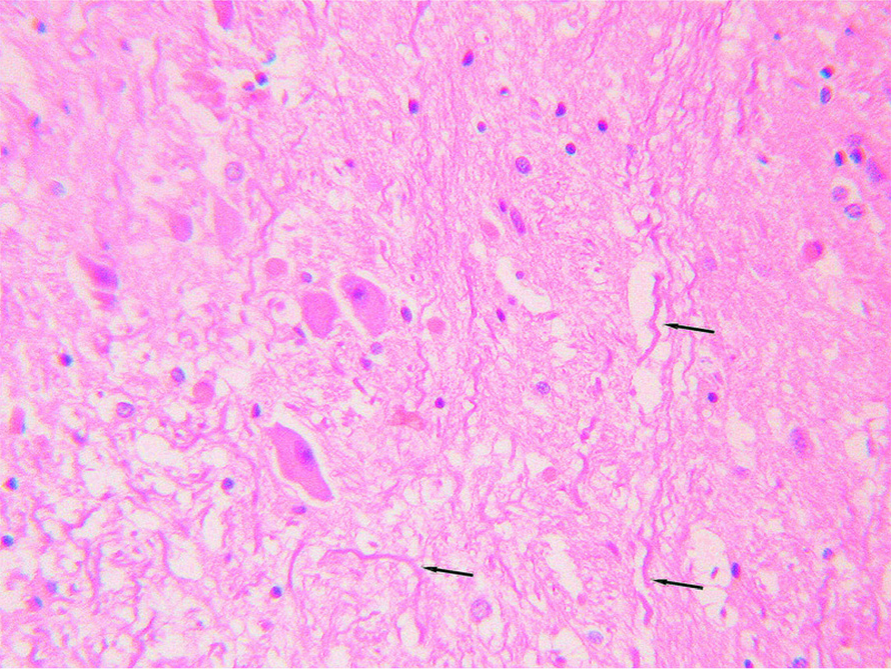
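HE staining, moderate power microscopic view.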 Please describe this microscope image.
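This is pink-stained nervous tissue with a few large neuron cell bodies on the left and scattered small, dark glial nuclei throughout the fibrous background. The neurons have abundant eosinophilic cytoplasm and are angular or polygonal, and some show a visible round nucleus. The neuropil between them looks loose and vacuolated, with many clear spaces of different sizes. Thin pink axonal fibres run through it without a straight, orderly course; several of them curve or follow a wavy path. Their width is uneven, thickening in some stretches and thinning in others, often beside the empty spaces.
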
